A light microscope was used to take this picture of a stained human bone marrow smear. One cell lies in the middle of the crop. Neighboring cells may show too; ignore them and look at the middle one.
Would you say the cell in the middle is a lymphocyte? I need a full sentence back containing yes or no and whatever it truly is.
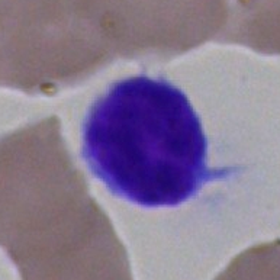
Yes, the middle of the crop is occupied by a lymphocyte.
